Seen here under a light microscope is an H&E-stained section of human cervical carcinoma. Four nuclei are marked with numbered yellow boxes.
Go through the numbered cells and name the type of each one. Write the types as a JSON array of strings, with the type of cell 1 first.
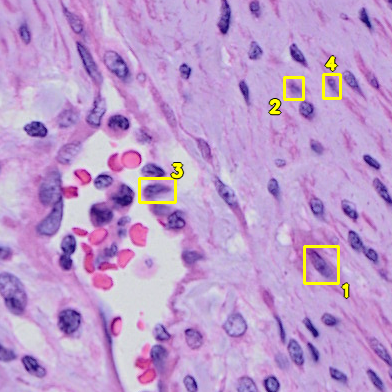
["smooth muscle cell", "smooth muscle cell", "endothelial cell", "smooth muscle cell"]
